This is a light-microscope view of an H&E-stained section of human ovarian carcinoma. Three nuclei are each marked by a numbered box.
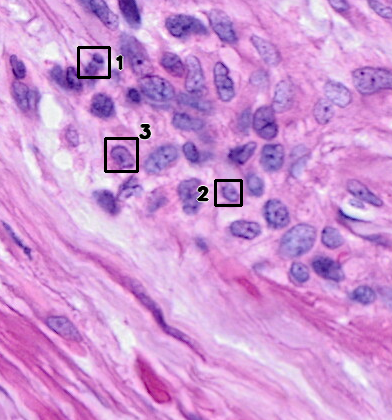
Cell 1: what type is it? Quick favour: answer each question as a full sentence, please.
The cell pointed out as number 1 is a macrophage or monocyte.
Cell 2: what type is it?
Regarding cell 2, this one is a fibroblast.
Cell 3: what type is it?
The marked cell bearing number 3 is a macrophage or monocyte.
